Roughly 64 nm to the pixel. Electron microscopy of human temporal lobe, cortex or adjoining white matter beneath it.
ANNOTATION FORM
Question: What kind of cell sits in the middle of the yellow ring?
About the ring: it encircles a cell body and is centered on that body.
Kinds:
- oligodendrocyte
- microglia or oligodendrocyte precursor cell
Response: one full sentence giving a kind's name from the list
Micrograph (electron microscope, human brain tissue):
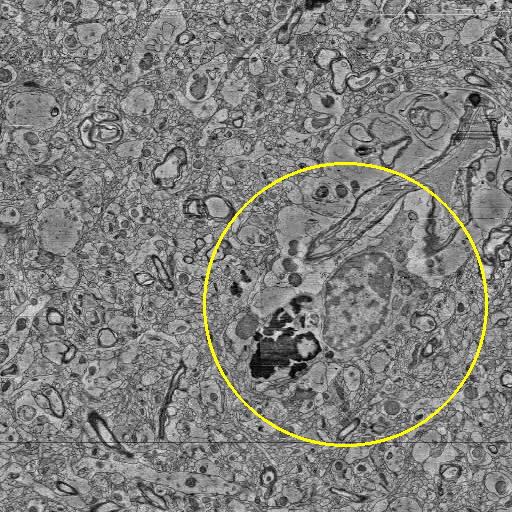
The kind of cell found at the center of the yellow ring in the micrograph is an oligodendrocyte.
